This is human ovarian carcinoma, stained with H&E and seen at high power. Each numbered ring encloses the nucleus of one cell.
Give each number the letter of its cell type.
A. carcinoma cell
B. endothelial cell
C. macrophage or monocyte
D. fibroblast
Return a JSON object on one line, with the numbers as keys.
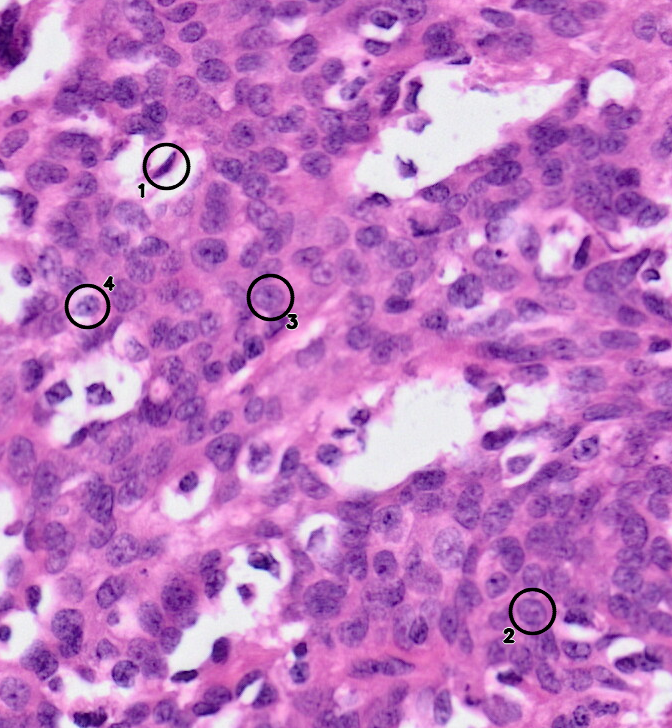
{"1": "A", "2": "A", "3": "A", "4": "C"}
